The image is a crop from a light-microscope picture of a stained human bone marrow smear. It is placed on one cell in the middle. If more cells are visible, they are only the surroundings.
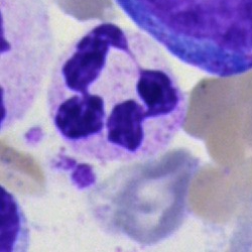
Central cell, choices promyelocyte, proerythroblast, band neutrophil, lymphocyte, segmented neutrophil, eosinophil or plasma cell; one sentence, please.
The cell of interest, located centrally, is a segmented neutrophil.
